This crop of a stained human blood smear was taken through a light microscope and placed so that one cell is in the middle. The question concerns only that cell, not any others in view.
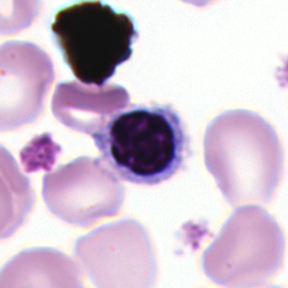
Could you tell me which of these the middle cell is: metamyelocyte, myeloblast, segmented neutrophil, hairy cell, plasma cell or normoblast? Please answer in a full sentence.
By type, the central cell of the crop is a normoblast.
